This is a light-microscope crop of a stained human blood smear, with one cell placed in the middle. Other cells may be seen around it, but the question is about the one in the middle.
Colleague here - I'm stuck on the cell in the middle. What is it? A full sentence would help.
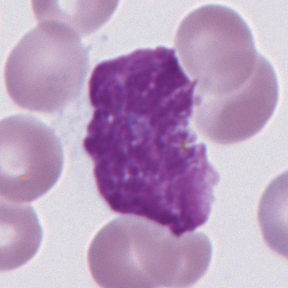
In the middle of this smear crop is a smudge cell.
